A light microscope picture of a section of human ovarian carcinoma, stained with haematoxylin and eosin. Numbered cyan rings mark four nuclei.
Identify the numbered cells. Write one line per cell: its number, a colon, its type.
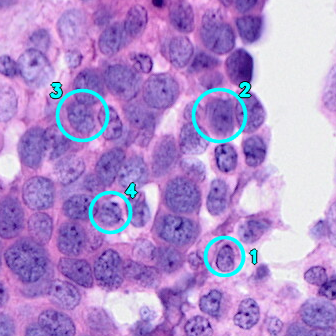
1: macrophage or monocyte
2: carcinoma cell
3: carcinoma cell
4: macrophage or monocyte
